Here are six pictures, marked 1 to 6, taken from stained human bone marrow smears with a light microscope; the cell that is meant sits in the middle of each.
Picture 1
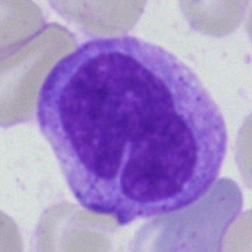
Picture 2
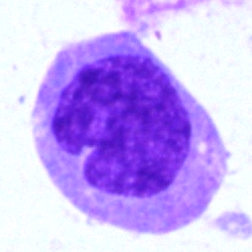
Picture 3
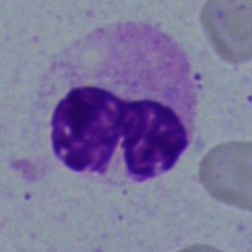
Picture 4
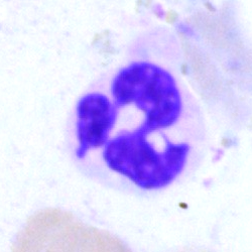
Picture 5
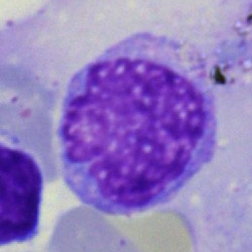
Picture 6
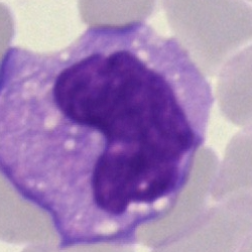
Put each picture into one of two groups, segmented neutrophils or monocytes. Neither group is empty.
1: monocyte
2: monocyte
3: segmented neutrophil
4: segmented neutrophil
5: monocyte
6: monocyte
